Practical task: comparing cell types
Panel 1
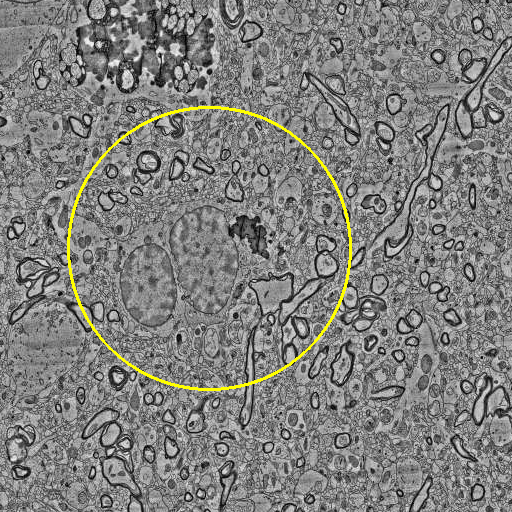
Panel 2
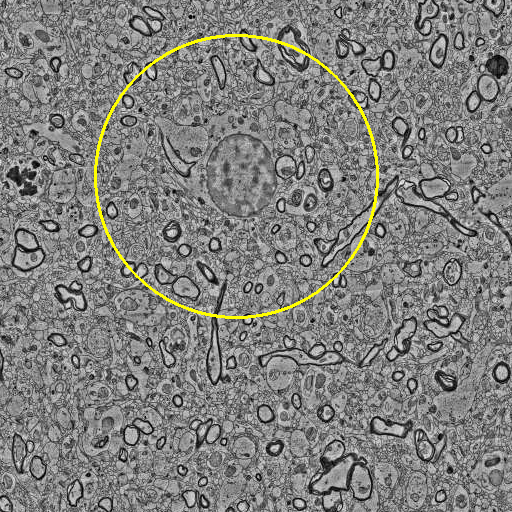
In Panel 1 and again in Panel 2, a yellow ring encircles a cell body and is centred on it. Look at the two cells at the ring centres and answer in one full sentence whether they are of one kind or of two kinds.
The two cells sitting at the ring centres of Panels 1 and 2 are of one kind.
